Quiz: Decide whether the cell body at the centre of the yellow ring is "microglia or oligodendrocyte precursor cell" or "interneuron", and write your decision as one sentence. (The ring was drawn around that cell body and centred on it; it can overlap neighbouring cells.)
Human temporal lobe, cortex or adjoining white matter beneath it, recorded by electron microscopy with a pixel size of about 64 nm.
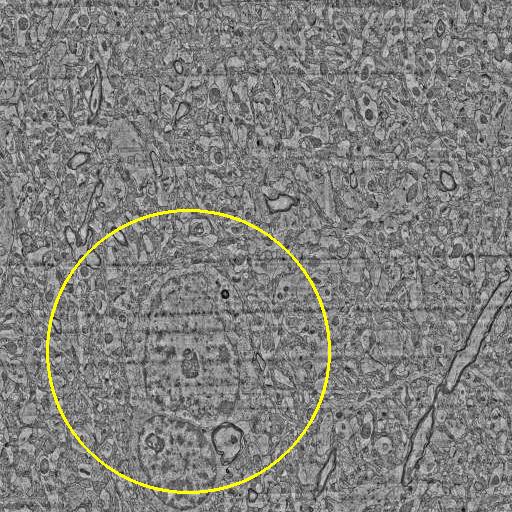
The cell the ring is centred on is an interneuron.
